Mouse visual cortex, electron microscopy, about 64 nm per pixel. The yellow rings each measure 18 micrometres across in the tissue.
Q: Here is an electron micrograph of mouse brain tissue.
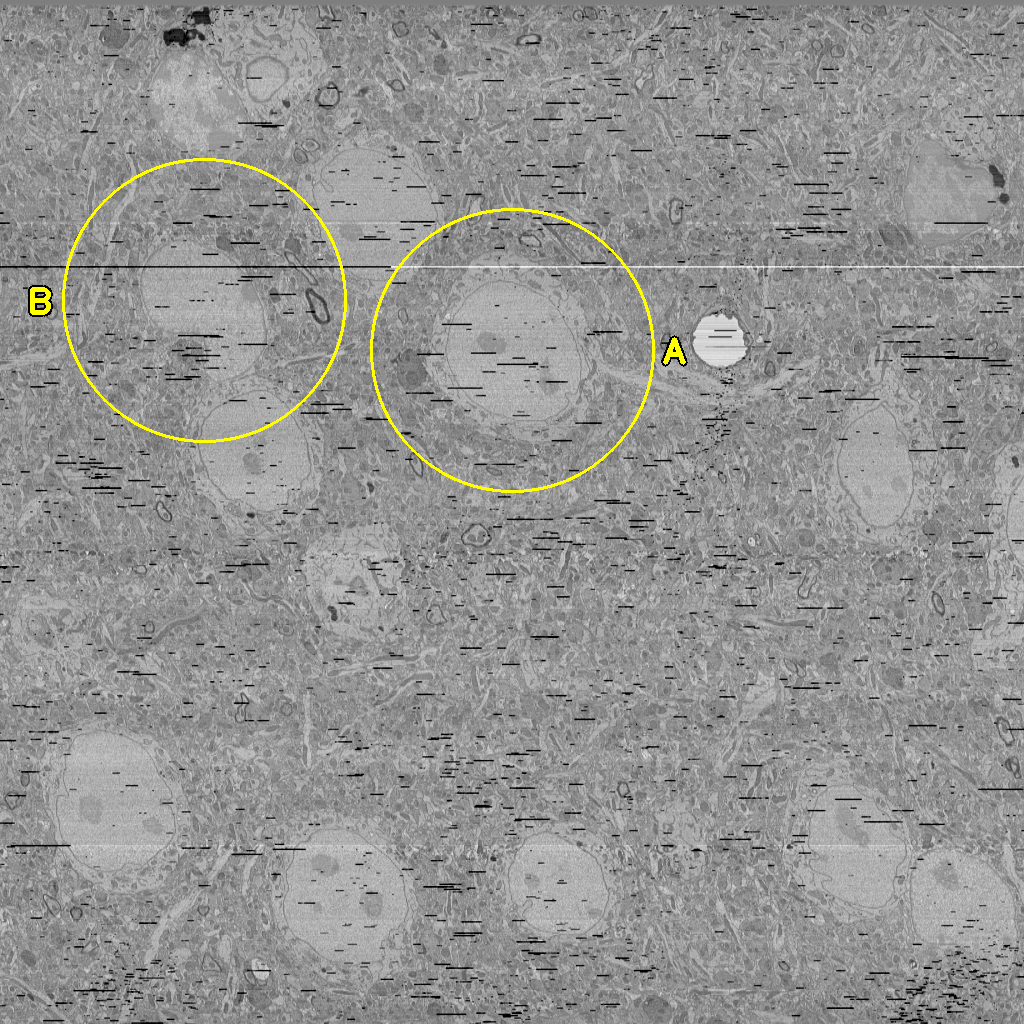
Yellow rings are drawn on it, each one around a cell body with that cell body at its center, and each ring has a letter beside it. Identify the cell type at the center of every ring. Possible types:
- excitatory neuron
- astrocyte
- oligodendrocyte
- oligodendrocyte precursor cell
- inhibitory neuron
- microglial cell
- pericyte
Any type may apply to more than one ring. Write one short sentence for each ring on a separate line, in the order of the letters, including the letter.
Centered in ring A is an excitatory neuron.
Centered in ring B is an astrocyte.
